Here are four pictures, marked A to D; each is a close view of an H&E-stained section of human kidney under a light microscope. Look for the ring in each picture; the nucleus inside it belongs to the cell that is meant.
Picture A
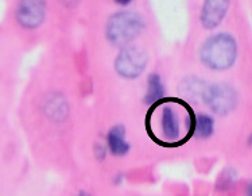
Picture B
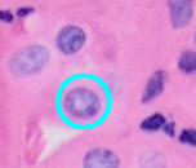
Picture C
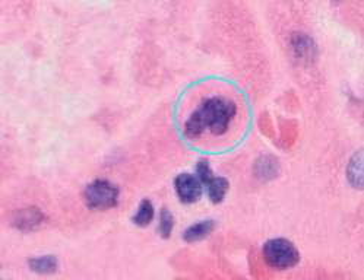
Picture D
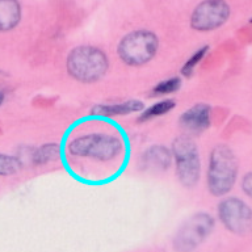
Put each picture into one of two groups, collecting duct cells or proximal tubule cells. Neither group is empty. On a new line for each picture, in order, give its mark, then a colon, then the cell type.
A: collecting duct cell
B: collecting duct cell
C: proximal tubule cell
D: collecting duct cell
